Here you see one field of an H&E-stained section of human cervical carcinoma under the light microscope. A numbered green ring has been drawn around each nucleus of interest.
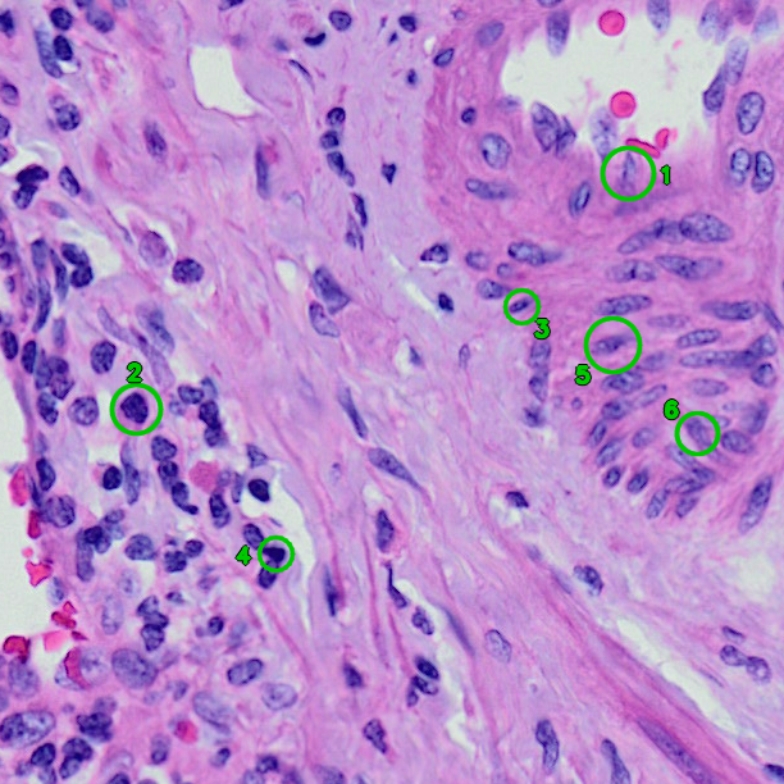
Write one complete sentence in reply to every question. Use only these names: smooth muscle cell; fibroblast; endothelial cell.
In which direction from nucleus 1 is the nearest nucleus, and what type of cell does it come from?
It is a smooth muscle cell, whose nucleus lies below nucleus 1.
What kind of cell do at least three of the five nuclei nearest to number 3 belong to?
The majority of the five nuclei closest to number 3 belong to smooth muscle cells.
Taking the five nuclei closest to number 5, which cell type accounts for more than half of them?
The majority of the five nuclei closest to number 5 belong to smooth muscle cells.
